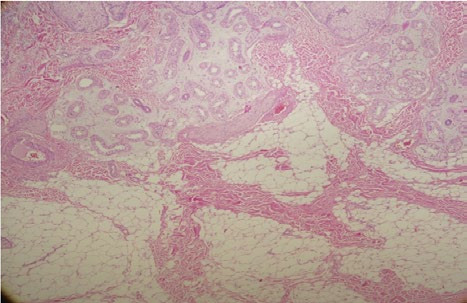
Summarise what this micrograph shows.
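At low power this section runs from thickened dermis into the subcutaneous fat. In the upper half, lobules of small coiled glandular tubules sit within pink fibrous tissue. Below them the subcutaneous tissue is made of large, pale, empty-looking fat cells with thin membranes. Running through the fat are thick, wavy pink bands of collagen that branch and extend down from the dermis, cutting the fat into irregular islands. The collagen bundles are coarse and densely packed, giving the dermis a thickened, fibrous look.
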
